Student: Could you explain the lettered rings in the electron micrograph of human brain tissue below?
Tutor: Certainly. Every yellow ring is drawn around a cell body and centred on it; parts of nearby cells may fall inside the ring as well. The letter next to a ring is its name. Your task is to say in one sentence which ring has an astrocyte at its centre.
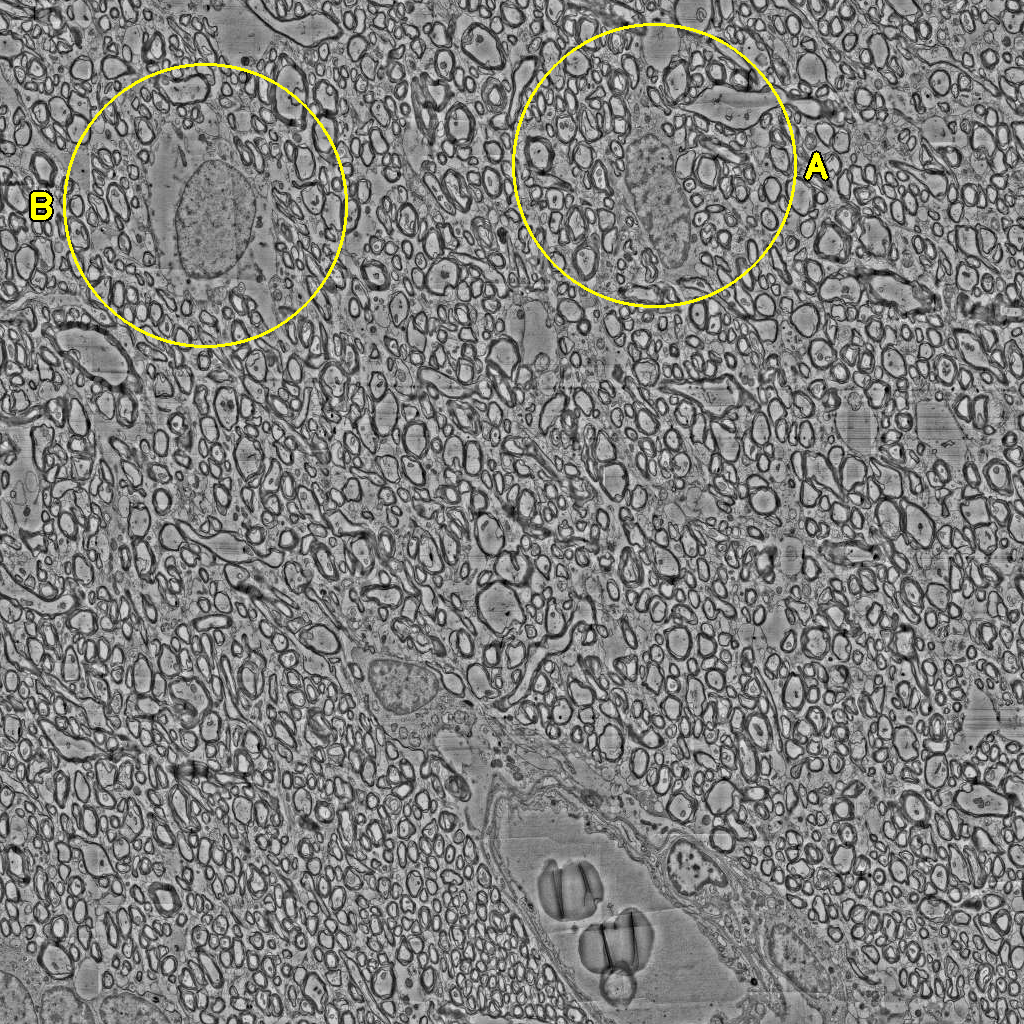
The cell at the centre of ring B is the one.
